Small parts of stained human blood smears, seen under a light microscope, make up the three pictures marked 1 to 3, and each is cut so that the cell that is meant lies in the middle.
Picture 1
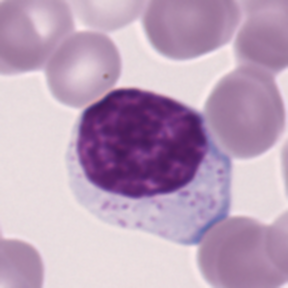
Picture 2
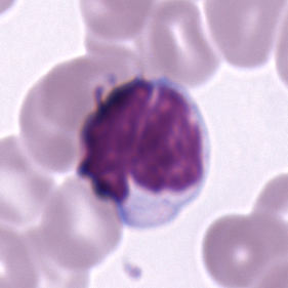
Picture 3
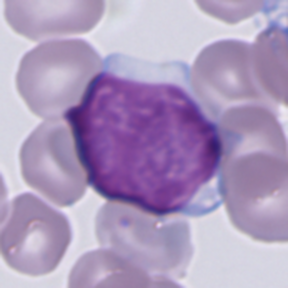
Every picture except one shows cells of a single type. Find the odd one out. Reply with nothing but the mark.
3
